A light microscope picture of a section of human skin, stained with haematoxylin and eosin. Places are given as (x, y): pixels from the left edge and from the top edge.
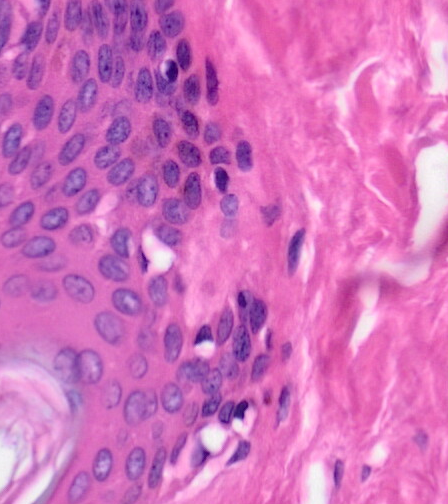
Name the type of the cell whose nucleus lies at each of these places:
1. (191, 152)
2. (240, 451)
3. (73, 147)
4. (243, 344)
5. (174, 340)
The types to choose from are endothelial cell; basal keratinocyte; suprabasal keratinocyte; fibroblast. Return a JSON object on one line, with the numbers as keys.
{"1": "basal keratinocyte", "2": "fibroblast", "3": "suprabasal keratinocyte", "4": "basal keratinocyte", "5": "basal keratinocyte"}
